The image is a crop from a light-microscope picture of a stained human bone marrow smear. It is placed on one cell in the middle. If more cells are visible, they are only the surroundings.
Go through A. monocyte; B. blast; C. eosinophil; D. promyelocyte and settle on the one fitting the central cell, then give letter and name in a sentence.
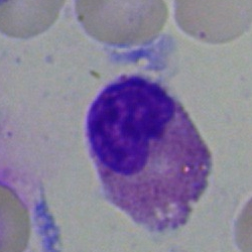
The central cell of the crop is an eosinophil, which makes C the correct option.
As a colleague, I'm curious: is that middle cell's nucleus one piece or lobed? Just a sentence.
Have a look at the nucleus, which is one compact mass, round, oval or kidney-shaped.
